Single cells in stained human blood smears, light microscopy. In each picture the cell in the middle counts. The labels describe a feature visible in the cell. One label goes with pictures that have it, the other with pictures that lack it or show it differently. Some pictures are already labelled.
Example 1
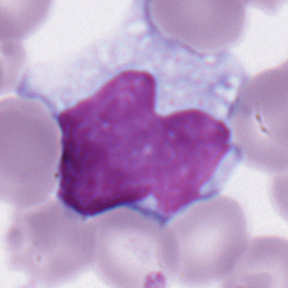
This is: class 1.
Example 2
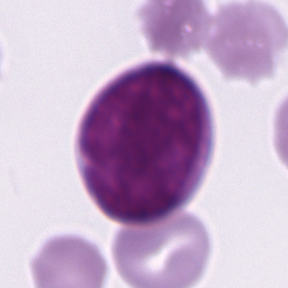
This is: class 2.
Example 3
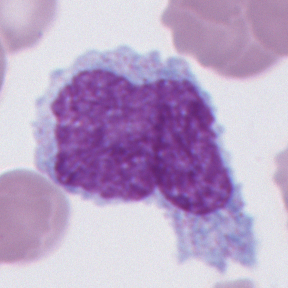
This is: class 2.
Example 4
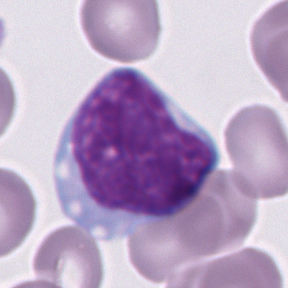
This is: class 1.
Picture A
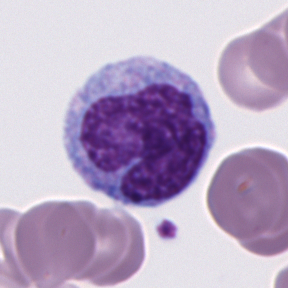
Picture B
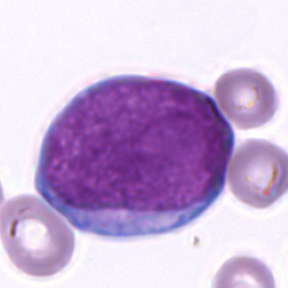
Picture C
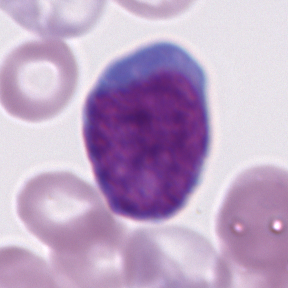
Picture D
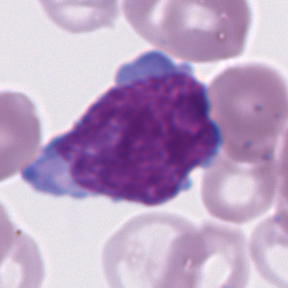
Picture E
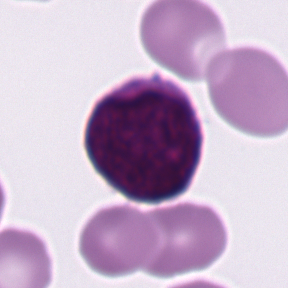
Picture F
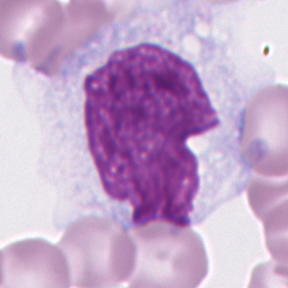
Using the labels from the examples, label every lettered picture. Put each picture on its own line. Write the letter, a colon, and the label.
A: class 2.
B: class 2.
C: class 2.
D: class 2.
E: class 2.
F: class 1.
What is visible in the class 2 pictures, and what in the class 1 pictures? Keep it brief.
Seen in class 2: no vacuoles; seen in class 1: vacuoles present.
